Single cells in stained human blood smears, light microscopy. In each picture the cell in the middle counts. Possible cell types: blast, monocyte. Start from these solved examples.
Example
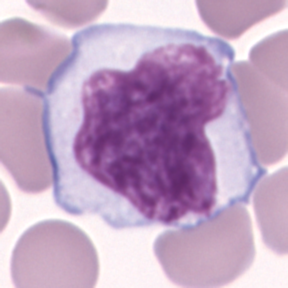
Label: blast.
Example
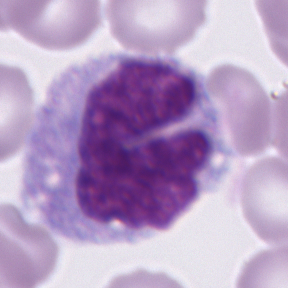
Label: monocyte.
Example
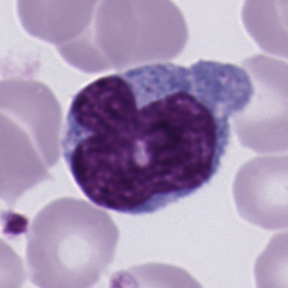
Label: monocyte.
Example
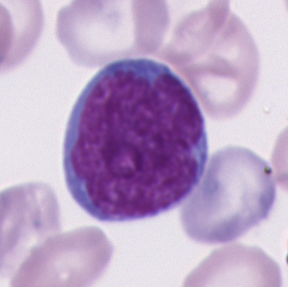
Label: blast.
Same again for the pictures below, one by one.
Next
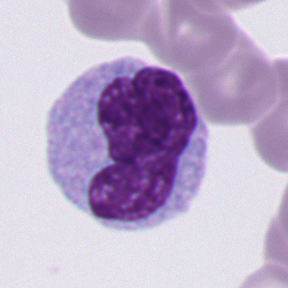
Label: monocyte.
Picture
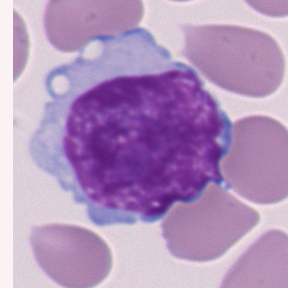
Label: blast.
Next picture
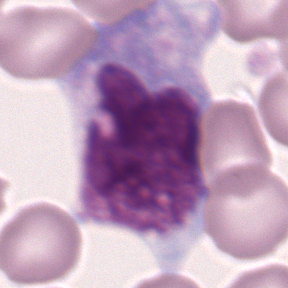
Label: monocyte.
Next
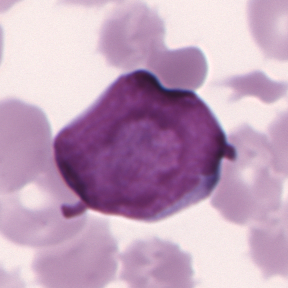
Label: blast.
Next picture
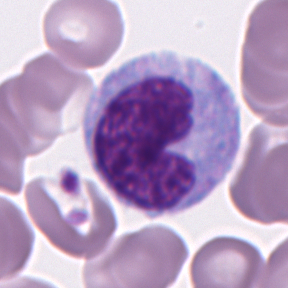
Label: monocyte.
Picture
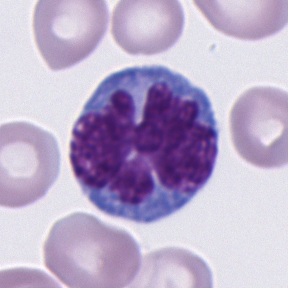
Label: monocyte.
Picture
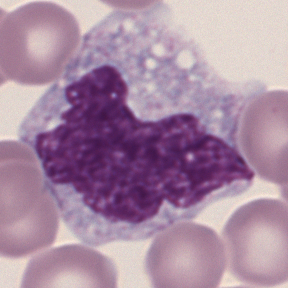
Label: monocyte.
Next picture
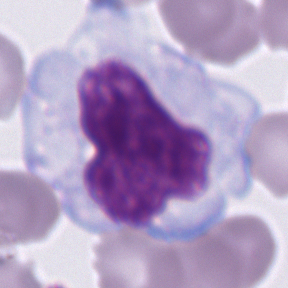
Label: monocyte.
